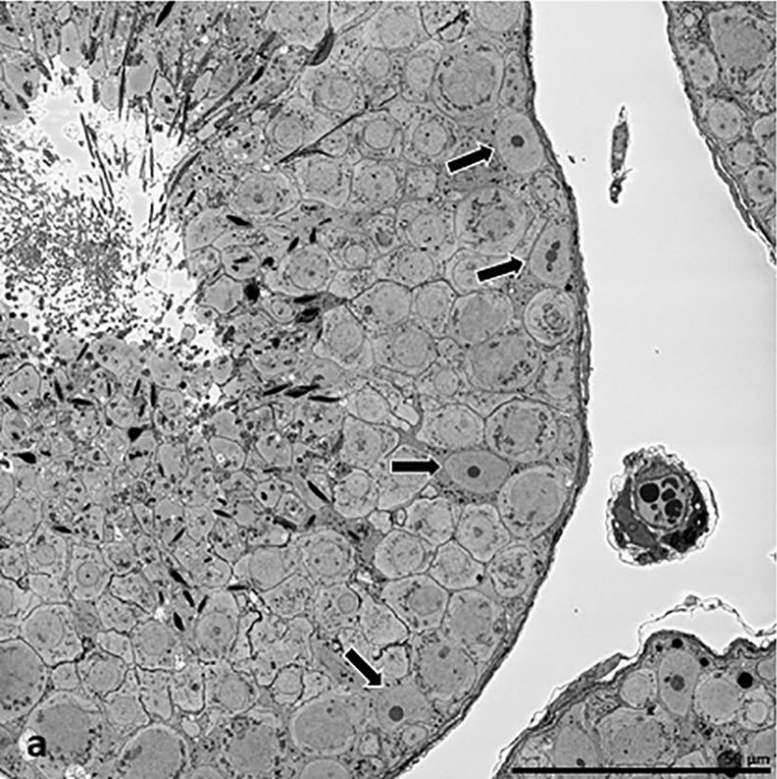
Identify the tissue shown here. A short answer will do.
Seminiferous tubules.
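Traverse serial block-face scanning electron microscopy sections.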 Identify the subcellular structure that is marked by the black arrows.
Sertoli cell nuclei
